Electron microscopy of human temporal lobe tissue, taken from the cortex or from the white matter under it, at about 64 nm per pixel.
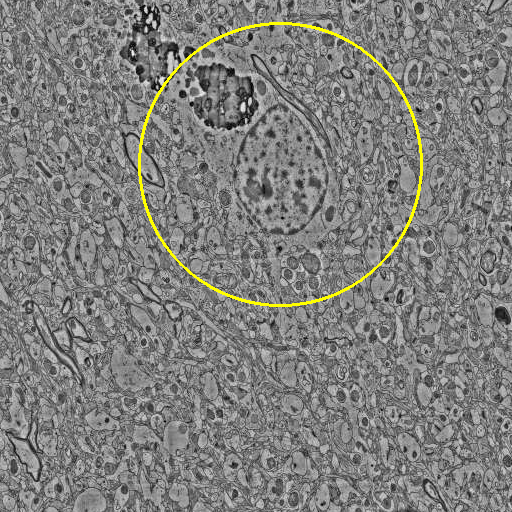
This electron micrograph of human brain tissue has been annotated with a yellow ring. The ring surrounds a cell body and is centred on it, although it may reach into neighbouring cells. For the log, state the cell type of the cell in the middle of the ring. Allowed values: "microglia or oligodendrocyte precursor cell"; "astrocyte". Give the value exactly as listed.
astrocyte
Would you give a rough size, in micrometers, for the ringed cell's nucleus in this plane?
The nucleus is approximately 8 micrometers long by 6 micrometers wide in this plane.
